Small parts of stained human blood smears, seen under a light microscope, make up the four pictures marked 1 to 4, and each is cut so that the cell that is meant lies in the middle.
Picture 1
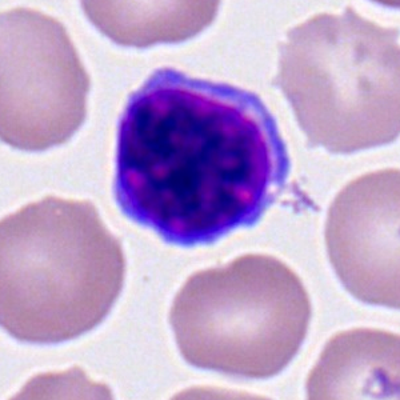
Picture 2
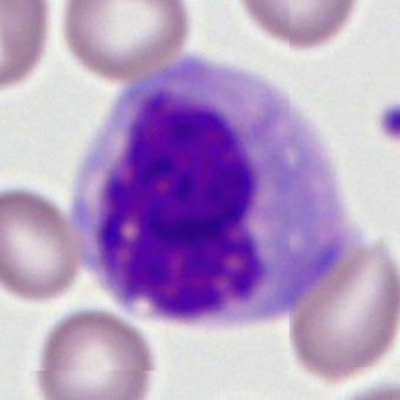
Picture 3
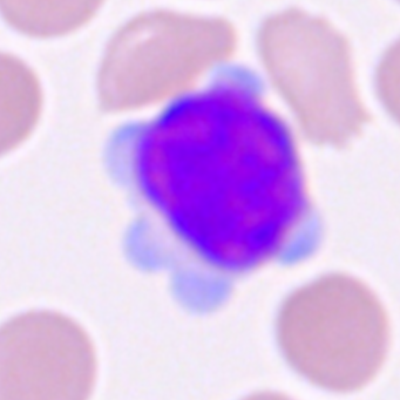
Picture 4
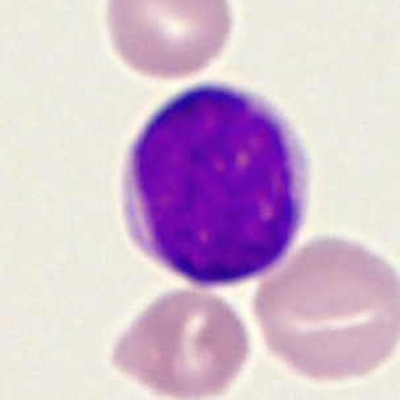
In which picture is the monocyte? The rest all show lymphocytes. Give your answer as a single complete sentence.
The cell in picture 2 is the monocyte.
